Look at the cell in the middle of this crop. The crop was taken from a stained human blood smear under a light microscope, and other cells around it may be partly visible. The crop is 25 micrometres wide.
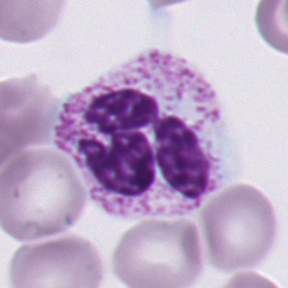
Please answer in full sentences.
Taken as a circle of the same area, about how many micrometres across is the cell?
It measures about 14 micrometres across.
